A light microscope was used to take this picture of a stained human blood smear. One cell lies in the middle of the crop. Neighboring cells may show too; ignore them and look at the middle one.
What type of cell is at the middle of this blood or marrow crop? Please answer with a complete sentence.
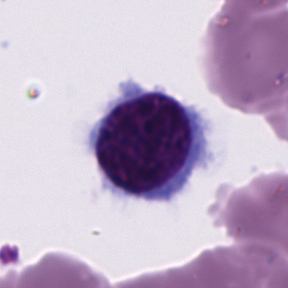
The target cell in the middle of the crop is a hairy cell.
